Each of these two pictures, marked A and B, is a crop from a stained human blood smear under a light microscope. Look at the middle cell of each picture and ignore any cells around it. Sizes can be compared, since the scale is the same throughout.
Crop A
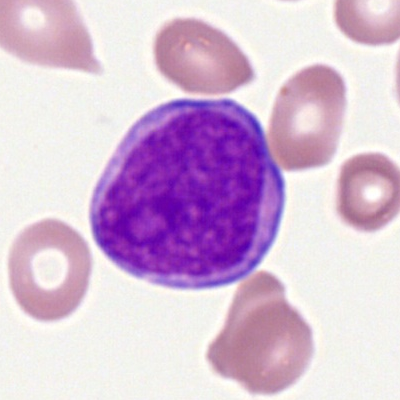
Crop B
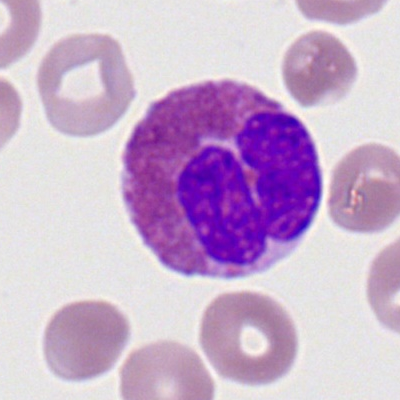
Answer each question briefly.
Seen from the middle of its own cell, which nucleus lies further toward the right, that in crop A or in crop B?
B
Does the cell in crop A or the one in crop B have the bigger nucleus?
A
